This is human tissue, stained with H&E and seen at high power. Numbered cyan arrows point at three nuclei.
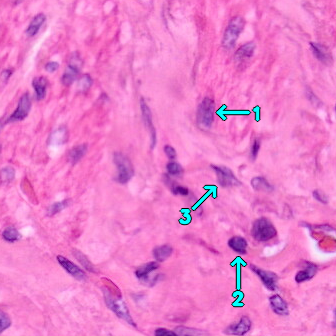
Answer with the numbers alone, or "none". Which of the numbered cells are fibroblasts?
3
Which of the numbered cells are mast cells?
2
